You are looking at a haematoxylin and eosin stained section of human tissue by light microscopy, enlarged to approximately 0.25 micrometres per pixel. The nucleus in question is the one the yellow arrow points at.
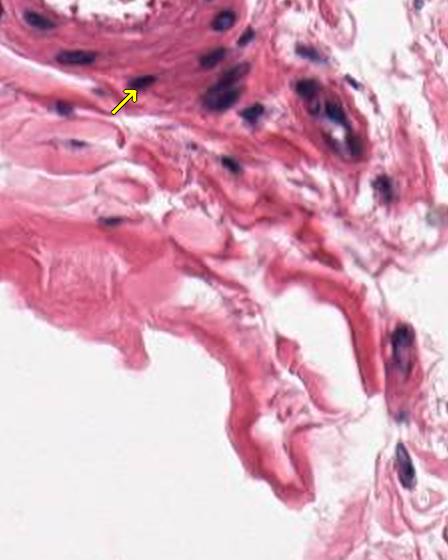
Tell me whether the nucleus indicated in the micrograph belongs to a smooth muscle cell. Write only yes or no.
yes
